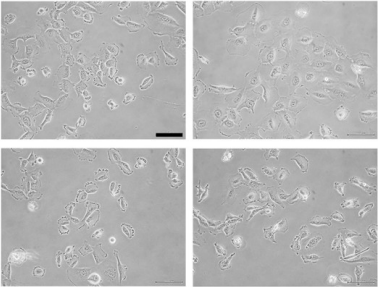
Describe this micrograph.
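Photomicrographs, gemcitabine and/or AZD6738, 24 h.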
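The cells lie scattered in small loose groups with open space between them. A few small round bright cells sit among the flattened ones. The four fields look broadly alike, with the cells still spread and attached.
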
